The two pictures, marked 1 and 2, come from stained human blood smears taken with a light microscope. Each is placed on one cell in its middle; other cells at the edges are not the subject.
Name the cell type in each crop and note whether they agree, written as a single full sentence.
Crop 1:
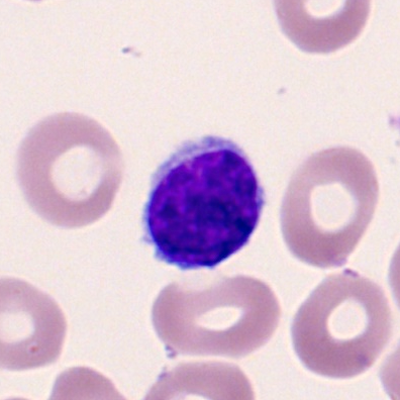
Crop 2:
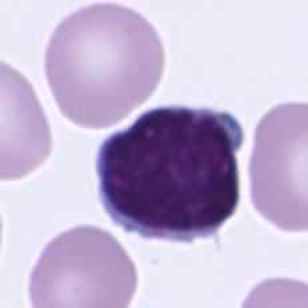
Yes, the central cells of both crops are lymphocytes.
